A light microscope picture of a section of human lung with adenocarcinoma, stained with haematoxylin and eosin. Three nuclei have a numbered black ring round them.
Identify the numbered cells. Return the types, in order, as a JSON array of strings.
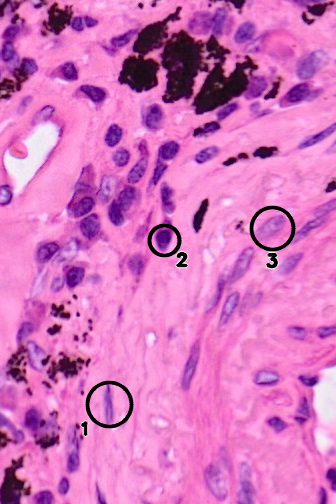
["fibroblast", "plasma cell", "smooth muscle cell or pericyte"]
